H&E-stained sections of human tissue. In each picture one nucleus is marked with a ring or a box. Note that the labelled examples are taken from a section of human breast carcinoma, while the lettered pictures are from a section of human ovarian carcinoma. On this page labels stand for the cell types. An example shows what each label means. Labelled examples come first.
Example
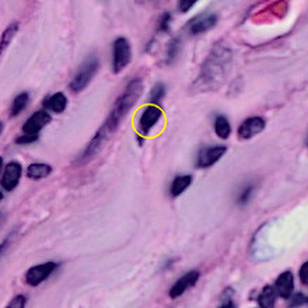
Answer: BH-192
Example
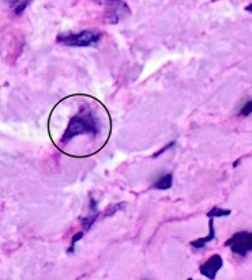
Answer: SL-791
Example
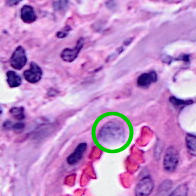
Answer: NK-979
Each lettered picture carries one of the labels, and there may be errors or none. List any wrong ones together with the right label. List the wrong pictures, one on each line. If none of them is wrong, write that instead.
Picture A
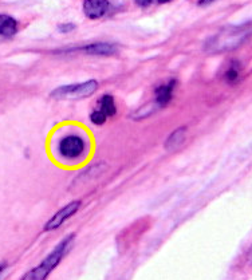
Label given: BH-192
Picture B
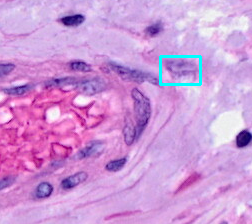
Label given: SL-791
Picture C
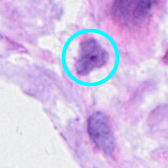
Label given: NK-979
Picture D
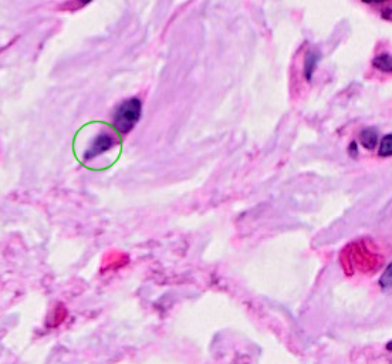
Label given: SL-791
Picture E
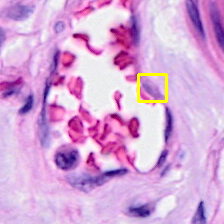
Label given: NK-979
C is labelled NK-979; correct label: SL-791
